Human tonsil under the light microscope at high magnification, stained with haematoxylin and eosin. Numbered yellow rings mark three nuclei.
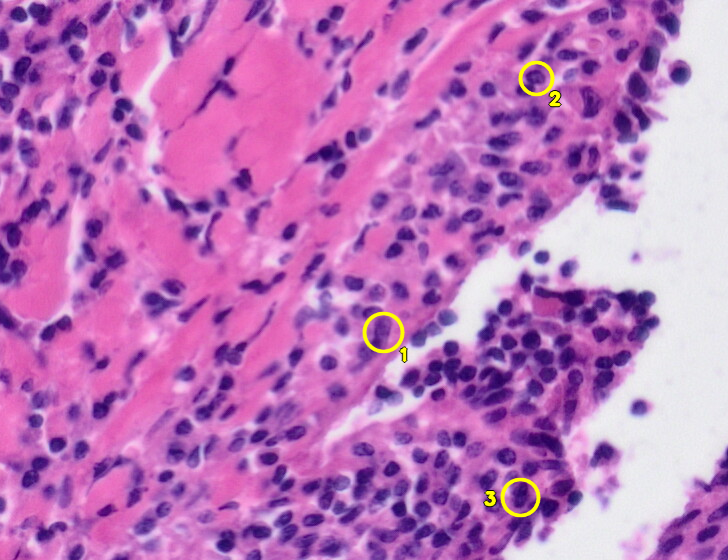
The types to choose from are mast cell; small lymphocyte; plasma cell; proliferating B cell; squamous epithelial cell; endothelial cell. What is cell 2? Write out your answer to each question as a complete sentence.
The cell marked with the number 2 is a plasma cell.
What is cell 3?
Cell 3 in the field of view is a plasma cell.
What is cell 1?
Heads up, the cell numbered 1 is an endothelial cell.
